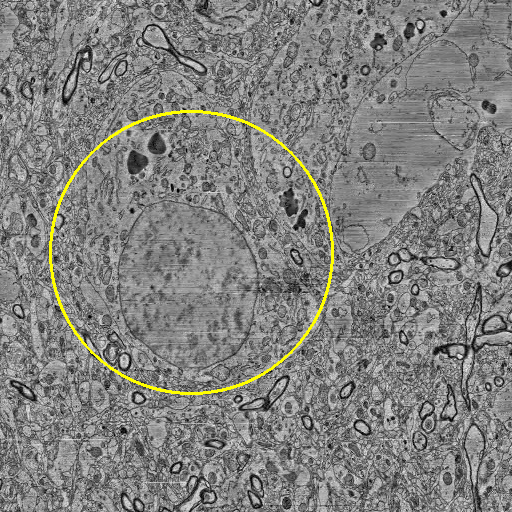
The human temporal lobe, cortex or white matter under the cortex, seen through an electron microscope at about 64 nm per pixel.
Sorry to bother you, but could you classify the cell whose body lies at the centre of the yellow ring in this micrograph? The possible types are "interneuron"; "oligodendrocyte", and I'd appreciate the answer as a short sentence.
The ringed cell body is that of an interneuron.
